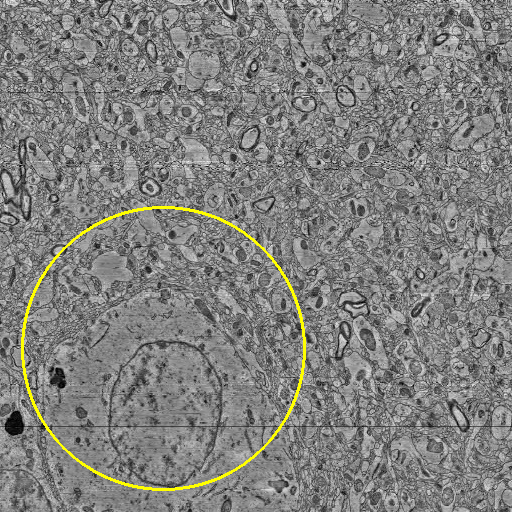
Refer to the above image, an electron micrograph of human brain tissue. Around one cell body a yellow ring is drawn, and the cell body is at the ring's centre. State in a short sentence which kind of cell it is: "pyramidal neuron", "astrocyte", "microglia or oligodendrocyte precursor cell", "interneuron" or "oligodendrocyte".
The centre of the ring falls on a pyramidal neuron.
